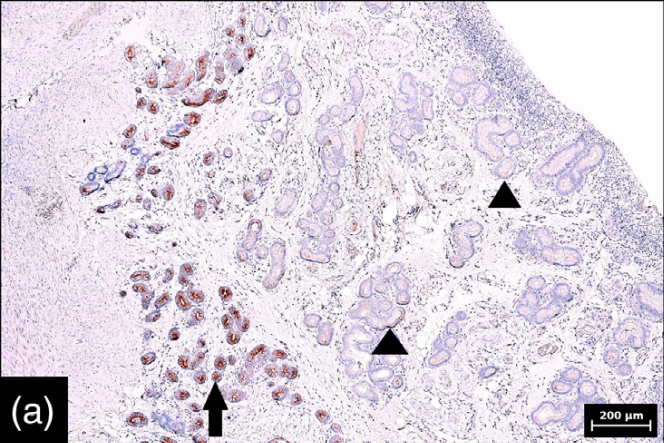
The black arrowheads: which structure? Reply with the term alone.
Middle and luminal portions of glands.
